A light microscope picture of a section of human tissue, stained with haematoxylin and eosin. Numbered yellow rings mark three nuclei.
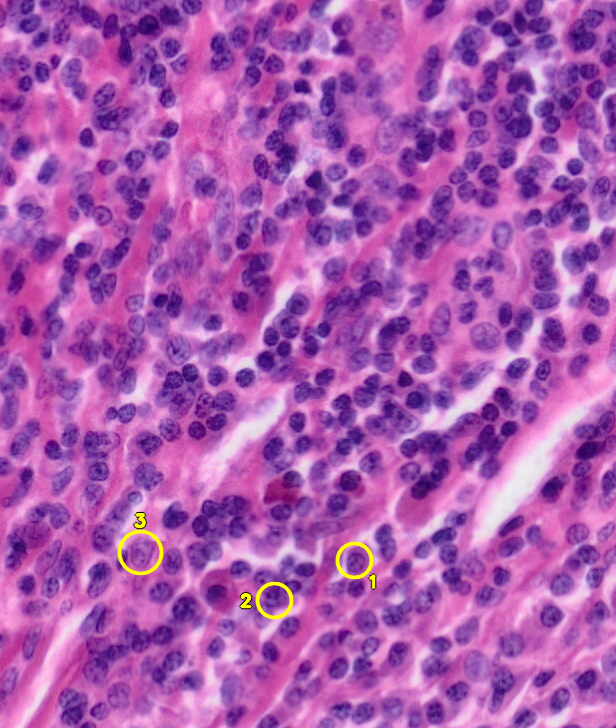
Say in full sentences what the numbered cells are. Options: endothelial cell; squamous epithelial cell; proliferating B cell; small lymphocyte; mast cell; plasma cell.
Cell 1 is a plasma cell, cell 2 is a plasma cell and cell 3 is an endothelial cell.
